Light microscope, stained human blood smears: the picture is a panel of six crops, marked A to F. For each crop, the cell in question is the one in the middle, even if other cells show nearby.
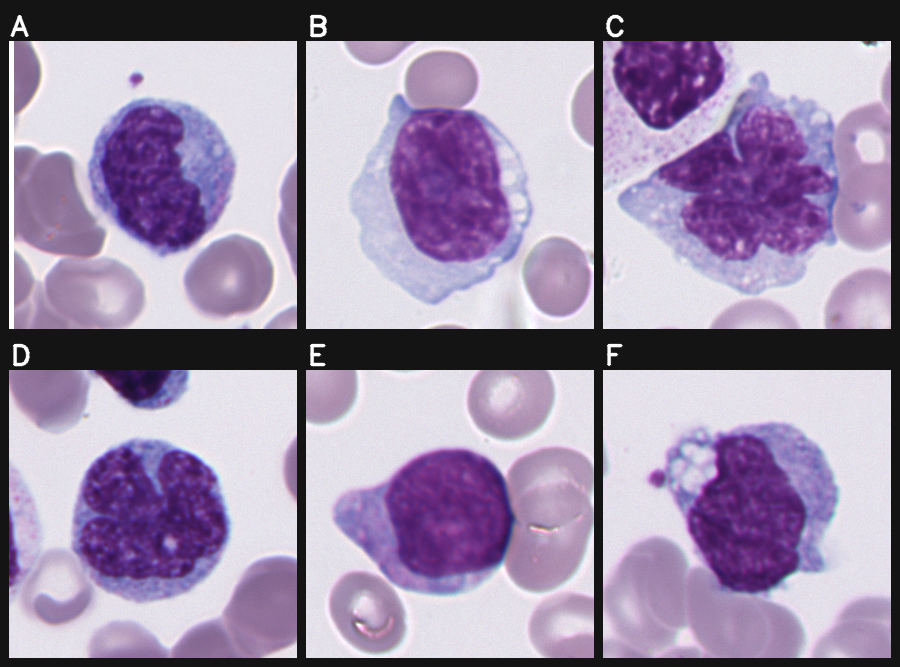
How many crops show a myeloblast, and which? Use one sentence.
Among all the crops, just one shows a myeloblast, namely crop B.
